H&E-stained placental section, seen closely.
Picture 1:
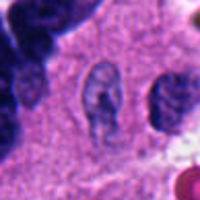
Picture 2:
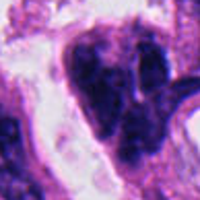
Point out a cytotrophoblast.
That is picture 1.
